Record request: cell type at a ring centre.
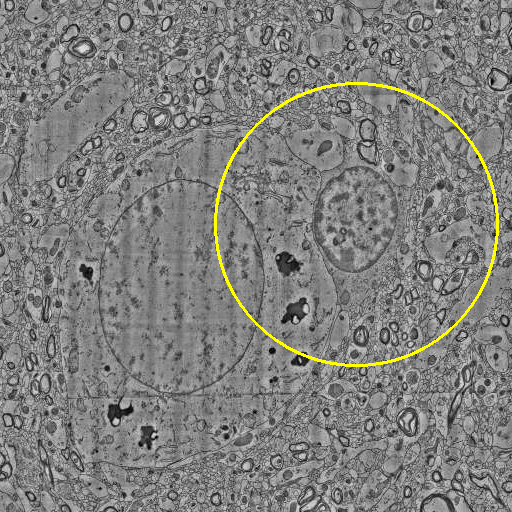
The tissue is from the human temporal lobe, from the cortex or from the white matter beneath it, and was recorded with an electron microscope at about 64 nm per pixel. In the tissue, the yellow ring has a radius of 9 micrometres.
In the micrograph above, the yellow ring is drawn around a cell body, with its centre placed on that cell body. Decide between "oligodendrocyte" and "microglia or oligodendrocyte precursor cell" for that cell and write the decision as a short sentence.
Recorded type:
The cell centred in the yellow ring is an oligodendrocyte.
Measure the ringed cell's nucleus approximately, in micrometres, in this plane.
About 7 by 5 micrometres in this plane.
